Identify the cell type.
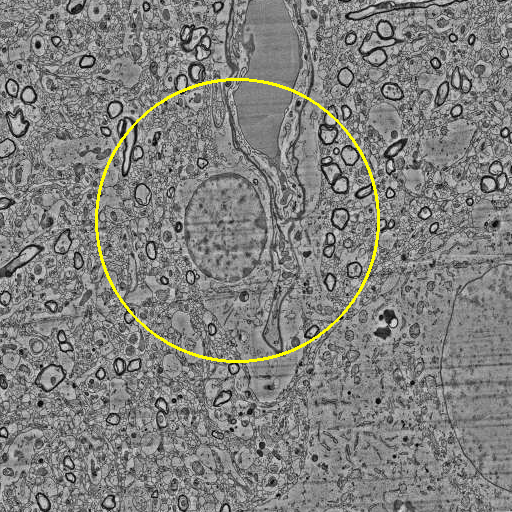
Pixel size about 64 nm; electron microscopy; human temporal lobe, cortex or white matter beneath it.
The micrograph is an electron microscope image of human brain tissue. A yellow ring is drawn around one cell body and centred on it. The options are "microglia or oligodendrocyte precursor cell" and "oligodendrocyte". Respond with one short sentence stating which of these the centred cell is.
The cell body in the ring belongs to a microglial cell or oligodendrocyte precursor cell.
